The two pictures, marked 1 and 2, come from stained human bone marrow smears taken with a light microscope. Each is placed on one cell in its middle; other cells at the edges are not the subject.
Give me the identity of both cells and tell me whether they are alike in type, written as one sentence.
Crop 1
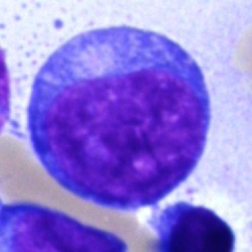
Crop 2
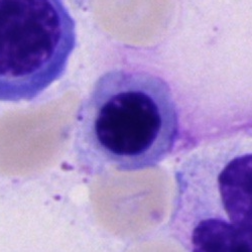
No, crop 1 carries a blast at its centre, and crop 2 carries an erythroblast.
